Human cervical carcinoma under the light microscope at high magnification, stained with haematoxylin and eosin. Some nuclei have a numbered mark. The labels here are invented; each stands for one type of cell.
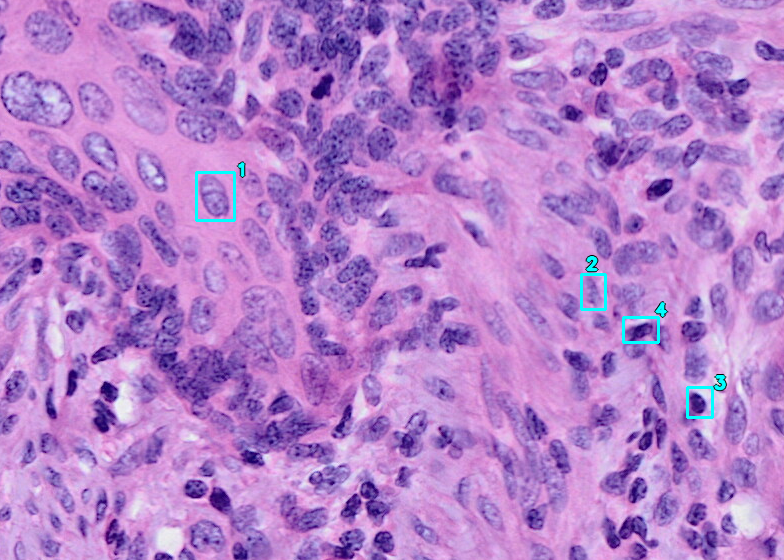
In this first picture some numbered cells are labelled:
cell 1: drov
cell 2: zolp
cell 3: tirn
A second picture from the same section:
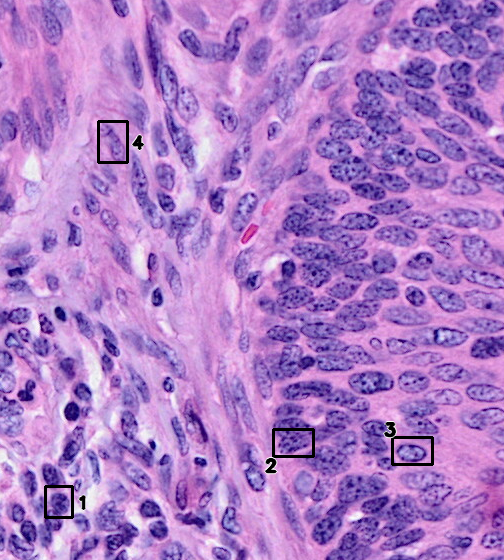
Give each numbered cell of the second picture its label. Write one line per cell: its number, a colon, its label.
1: tirn
2: drov
3: drov
4: zolp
